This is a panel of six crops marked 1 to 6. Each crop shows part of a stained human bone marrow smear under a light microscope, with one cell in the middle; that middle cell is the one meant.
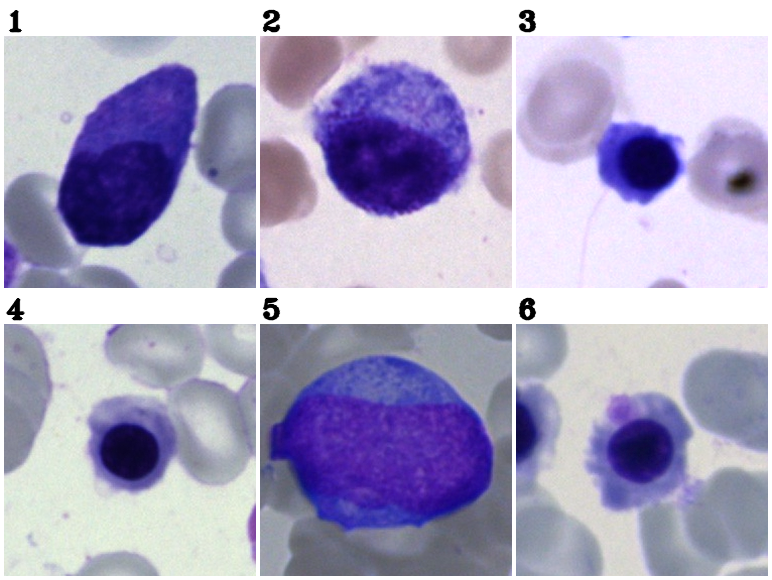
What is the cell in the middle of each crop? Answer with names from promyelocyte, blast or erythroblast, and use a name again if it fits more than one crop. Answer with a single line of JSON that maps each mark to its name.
{"1": "blast", "2": "promyelocyte", "3": "erythroblast", "4": "erythroblast", "5": "blast", "6": "erythroblast"}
